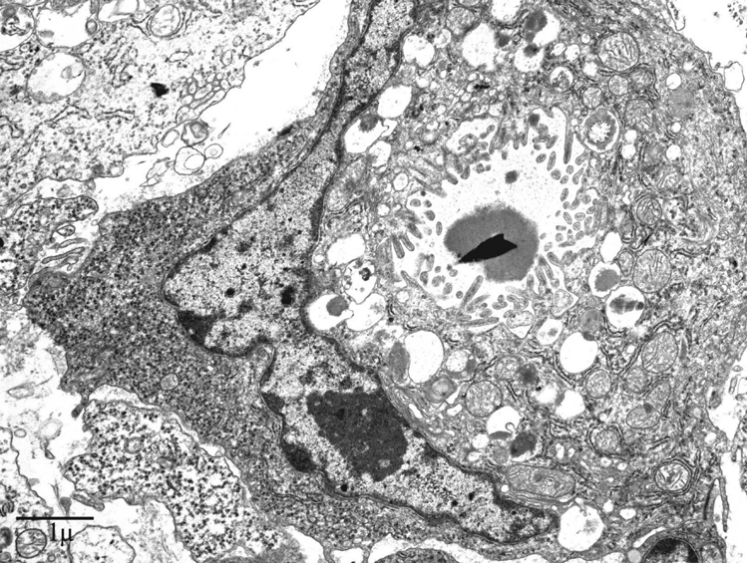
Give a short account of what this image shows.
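This electron micrograph shows a carcinoma cell with a large rounded lumen inside its cytoplasm. Numerous slender microvilli project from the membrane lining this lumen into its clear interior, and a dark amorphous mass lies in its centre. The surrounding cytoplasm holds many clear and partly filled vacuoles along with mitochondria that have visible cristae. The nucleus is pushed to the side of the cell and has an irregular, indented outline, with clumped dark chromatin and a prominent dense nucleolus. Beside this cell, at the left, lies a neighbouring cell with dense, granular cytoplasm.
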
